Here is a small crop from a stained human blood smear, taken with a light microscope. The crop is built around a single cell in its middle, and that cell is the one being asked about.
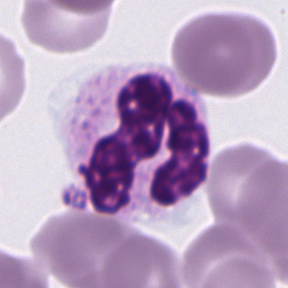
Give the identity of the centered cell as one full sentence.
In this smear crop, the middle cell is a segmented neutrophil.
